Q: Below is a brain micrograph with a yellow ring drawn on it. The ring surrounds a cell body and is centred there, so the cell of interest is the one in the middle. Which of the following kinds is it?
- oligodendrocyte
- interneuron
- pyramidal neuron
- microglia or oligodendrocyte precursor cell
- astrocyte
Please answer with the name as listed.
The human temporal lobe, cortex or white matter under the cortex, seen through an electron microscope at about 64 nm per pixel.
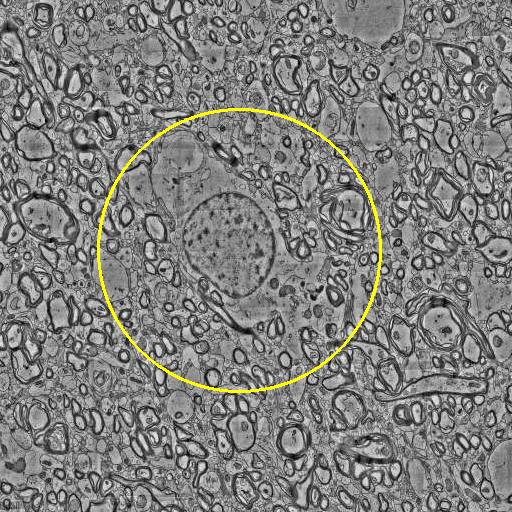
astrocyte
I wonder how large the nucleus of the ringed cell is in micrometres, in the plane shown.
About 7 by 6 micrometers, in this plane.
